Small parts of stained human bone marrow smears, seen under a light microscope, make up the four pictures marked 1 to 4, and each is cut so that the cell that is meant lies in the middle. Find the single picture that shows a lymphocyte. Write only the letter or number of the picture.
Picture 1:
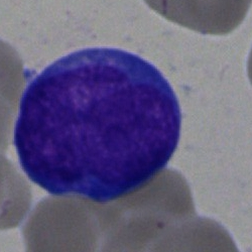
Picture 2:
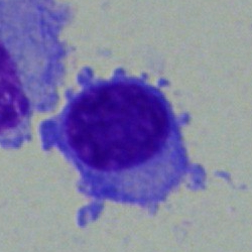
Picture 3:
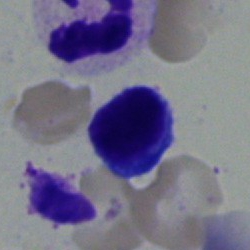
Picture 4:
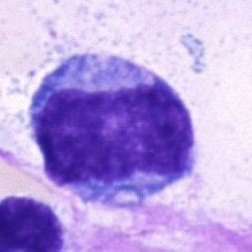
3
